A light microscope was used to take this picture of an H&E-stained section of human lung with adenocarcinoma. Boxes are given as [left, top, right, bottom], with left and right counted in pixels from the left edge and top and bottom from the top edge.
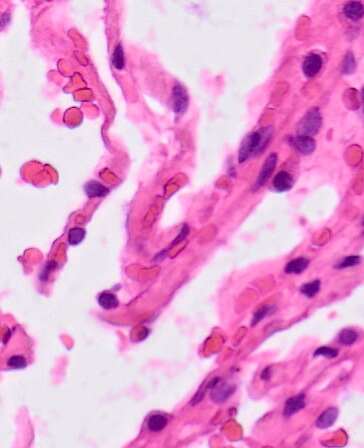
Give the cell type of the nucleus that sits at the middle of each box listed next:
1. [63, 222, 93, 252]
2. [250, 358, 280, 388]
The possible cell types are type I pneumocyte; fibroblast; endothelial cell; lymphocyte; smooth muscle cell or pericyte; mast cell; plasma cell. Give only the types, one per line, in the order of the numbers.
type I pneumocyte
endothelial cell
